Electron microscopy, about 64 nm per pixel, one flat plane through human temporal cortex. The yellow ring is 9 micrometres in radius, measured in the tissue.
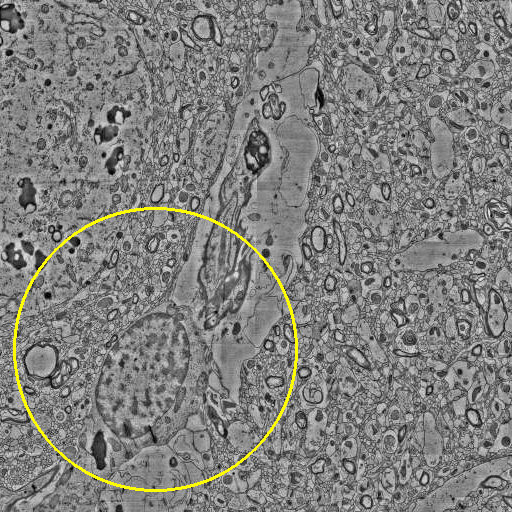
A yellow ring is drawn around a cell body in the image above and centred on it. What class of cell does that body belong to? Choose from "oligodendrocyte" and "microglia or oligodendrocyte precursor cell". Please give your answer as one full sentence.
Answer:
The yellow ring above is centred on the cell body of an oligodendrocyte.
